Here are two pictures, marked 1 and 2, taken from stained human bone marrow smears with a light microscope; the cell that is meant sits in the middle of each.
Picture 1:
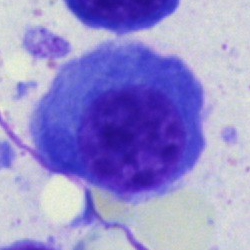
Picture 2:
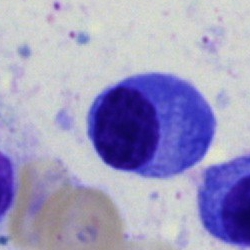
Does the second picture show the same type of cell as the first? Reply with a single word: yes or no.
yes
